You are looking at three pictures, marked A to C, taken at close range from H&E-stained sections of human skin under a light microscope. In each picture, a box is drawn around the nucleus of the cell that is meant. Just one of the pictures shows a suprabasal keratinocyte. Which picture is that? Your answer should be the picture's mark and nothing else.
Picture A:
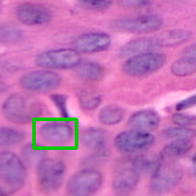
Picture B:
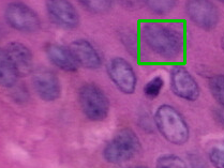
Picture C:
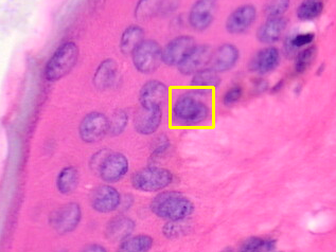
B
